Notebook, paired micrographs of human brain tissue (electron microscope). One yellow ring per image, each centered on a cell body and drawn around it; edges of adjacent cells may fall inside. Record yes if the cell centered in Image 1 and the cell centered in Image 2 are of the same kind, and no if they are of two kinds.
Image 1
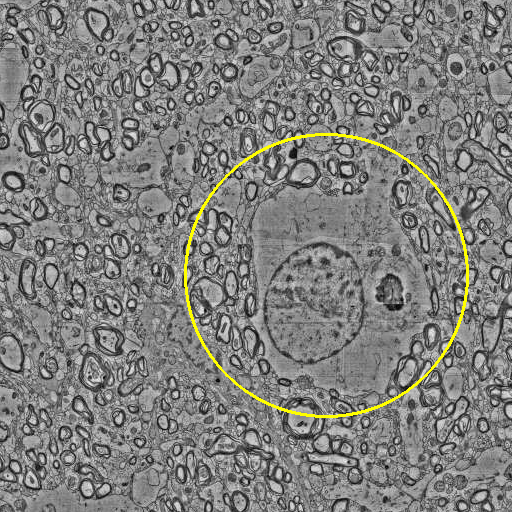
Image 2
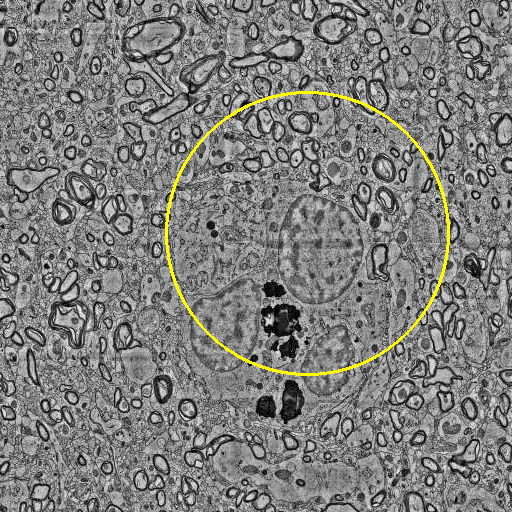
no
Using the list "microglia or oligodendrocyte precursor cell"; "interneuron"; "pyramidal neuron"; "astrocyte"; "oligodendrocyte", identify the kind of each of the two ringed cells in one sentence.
The first is an astrocyte and the second is an oligodendrocyte.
